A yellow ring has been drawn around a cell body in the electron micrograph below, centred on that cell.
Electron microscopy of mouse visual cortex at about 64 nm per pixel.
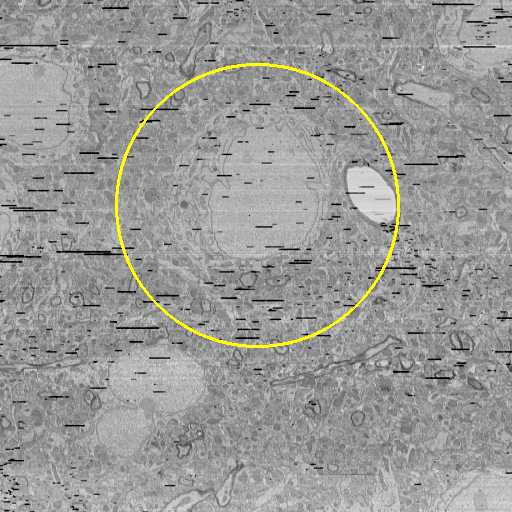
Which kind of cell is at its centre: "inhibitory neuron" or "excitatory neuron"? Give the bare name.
inhibitory neuron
